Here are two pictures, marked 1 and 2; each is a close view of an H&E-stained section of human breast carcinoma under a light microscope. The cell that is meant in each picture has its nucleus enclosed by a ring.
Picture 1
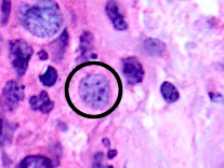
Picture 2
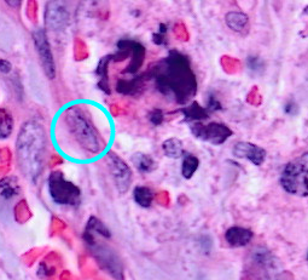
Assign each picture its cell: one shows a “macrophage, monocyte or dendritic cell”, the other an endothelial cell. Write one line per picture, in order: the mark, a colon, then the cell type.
1: macrophage, monocyte or dendritic cell
2: endothelial cell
